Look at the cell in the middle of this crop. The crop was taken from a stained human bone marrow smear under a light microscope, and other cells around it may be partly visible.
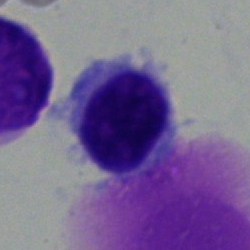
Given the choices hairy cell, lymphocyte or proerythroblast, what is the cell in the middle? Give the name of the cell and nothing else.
hairy cell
